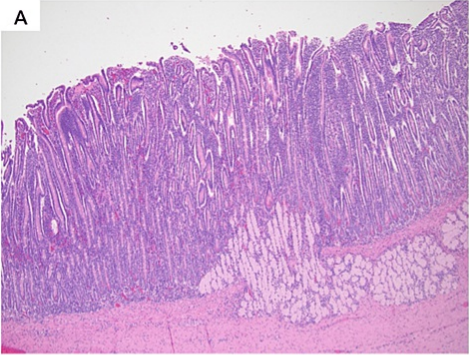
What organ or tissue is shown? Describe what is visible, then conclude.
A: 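Mucosa with villi and crypts lines the top of the section. Lobules of pale, foamy glands lie beneath the mucosa in the submucosa. A band of pink muscle lies at the bottom. That points to this answer: duodenum.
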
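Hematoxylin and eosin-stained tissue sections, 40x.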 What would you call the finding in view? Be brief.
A: Villous attenuation and crypt hyperplasia.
